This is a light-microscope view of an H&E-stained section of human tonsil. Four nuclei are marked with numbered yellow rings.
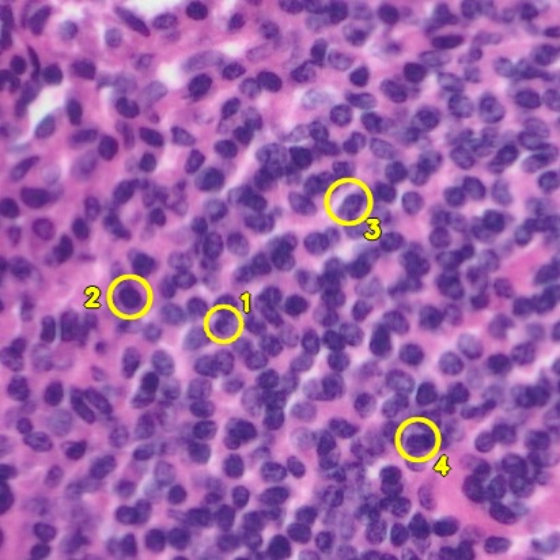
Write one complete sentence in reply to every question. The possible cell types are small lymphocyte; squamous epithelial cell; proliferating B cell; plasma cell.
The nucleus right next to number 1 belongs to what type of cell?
The nucleus nearest to number 1 is that of a small lymphocyte.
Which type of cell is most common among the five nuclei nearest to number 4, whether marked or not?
Small lymphocytes make up most of the five nuclei closest to number 4.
